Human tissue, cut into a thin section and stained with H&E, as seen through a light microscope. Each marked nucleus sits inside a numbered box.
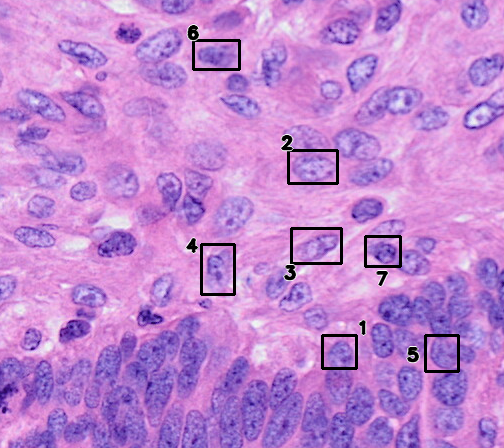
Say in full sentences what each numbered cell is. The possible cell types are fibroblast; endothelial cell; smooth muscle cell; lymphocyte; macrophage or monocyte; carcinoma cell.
Cell 1 is a carcinoma cell, cell 2 is a fibroblast, cell 3 is a fibroblast, cell 4 is a fibroblast, cell 5 is a carcinoma cell, cell 6 is a fibroblast and cell 7 is a macrophage or monocyte.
